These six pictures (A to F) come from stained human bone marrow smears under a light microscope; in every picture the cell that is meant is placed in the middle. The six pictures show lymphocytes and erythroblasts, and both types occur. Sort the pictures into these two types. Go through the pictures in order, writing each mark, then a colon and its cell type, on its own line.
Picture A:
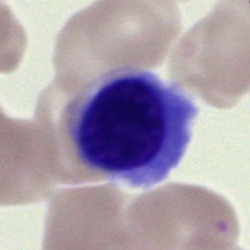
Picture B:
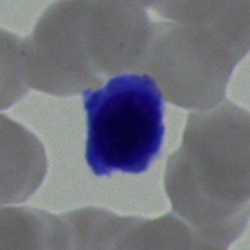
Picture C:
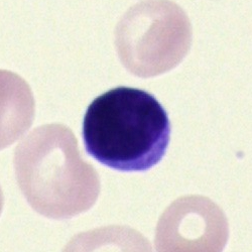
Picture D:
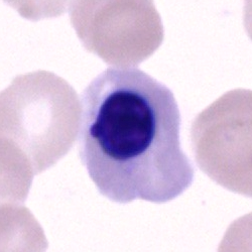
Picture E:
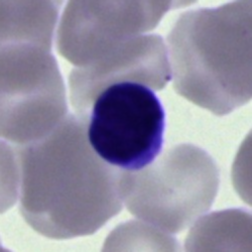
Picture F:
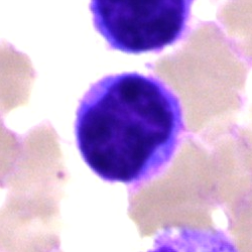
A: erythroblast
B: lymphocyte
C: lymphocyte
D: erythroblast
E: lymphocyte
F: lymphocyte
